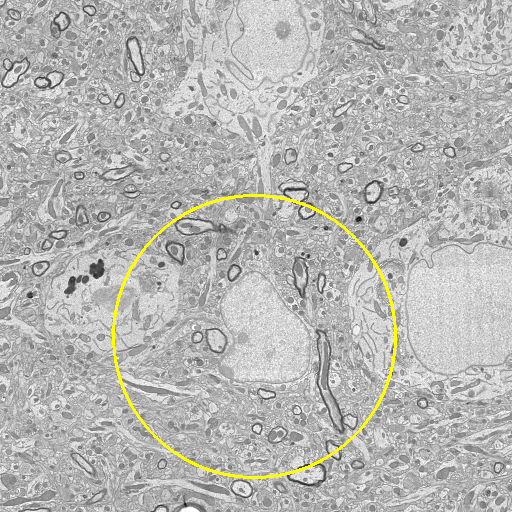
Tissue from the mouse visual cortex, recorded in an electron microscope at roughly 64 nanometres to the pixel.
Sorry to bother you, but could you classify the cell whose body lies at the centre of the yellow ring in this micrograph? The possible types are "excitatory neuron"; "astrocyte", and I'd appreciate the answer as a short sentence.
The ringed cell body is that of an astrocyte.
